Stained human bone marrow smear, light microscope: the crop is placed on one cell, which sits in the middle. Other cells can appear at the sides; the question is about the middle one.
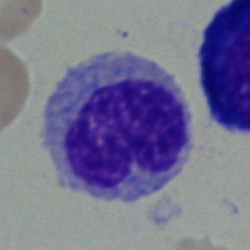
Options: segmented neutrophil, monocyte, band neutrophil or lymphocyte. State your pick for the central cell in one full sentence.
What sits at the centre of this crop is a monocyte.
